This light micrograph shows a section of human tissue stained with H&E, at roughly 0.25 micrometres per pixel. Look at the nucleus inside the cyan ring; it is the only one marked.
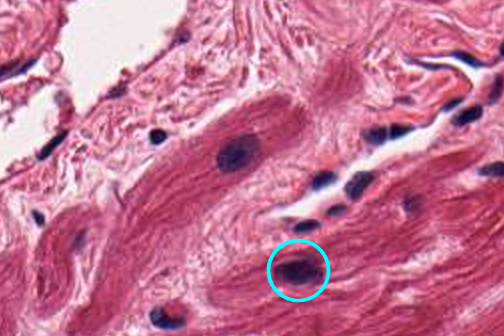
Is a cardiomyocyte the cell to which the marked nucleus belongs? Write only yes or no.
yes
